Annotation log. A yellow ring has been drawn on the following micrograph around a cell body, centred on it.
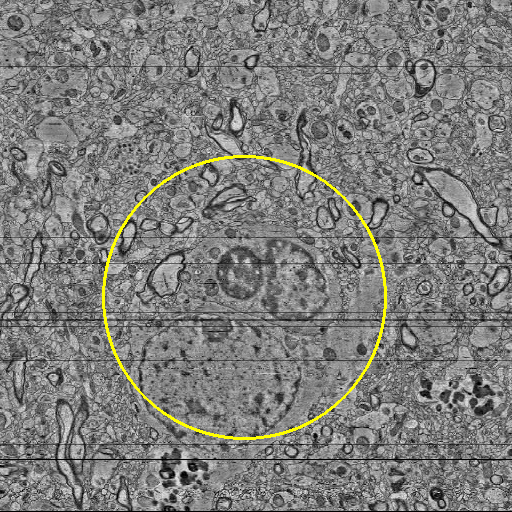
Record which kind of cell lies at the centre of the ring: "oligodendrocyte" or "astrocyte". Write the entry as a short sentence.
The cell the ring is centred on is an oligodendrocyte.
